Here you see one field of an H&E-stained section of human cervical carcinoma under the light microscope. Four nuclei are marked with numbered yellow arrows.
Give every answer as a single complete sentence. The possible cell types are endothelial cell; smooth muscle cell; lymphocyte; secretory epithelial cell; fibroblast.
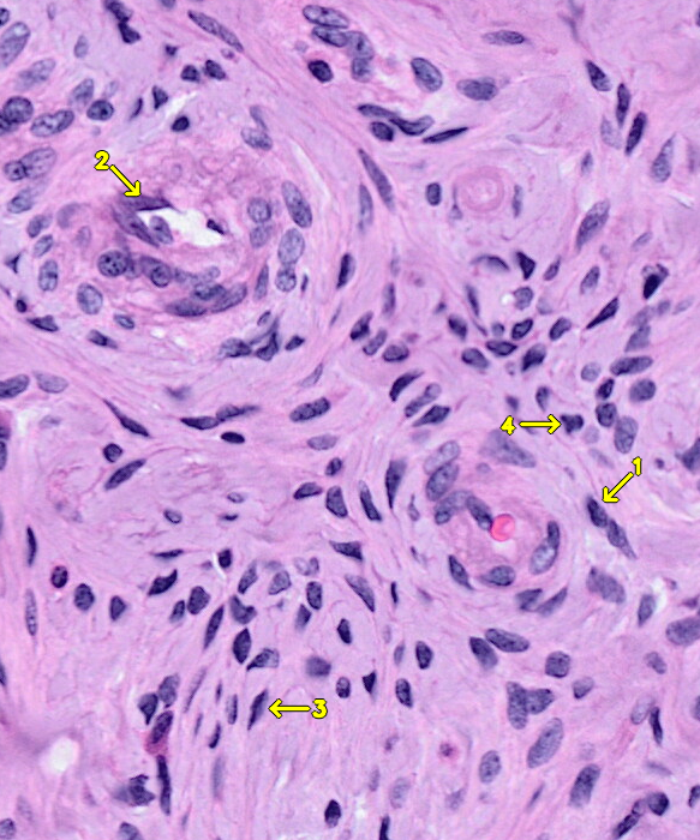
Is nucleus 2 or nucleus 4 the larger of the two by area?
It is nucleus 2, which covers about 2 times the area of nucleus 4.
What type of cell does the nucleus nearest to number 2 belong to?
The nearest nucleus to number 2 belongs to an endothelial cell.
